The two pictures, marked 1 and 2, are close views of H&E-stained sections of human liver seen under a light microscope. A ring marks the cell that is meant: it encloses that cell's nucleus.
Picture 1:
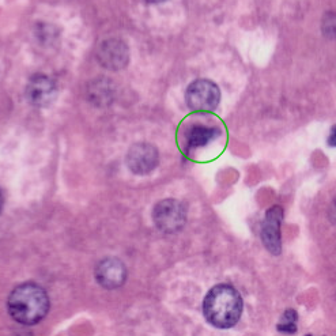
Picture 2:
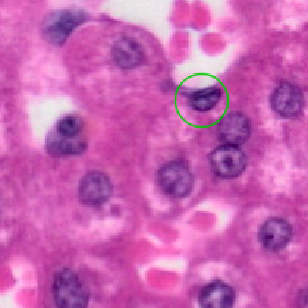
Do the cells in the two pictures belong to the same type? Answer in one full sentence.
Yes, they are the same type: both are “fibroblasts or stellate cells”.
